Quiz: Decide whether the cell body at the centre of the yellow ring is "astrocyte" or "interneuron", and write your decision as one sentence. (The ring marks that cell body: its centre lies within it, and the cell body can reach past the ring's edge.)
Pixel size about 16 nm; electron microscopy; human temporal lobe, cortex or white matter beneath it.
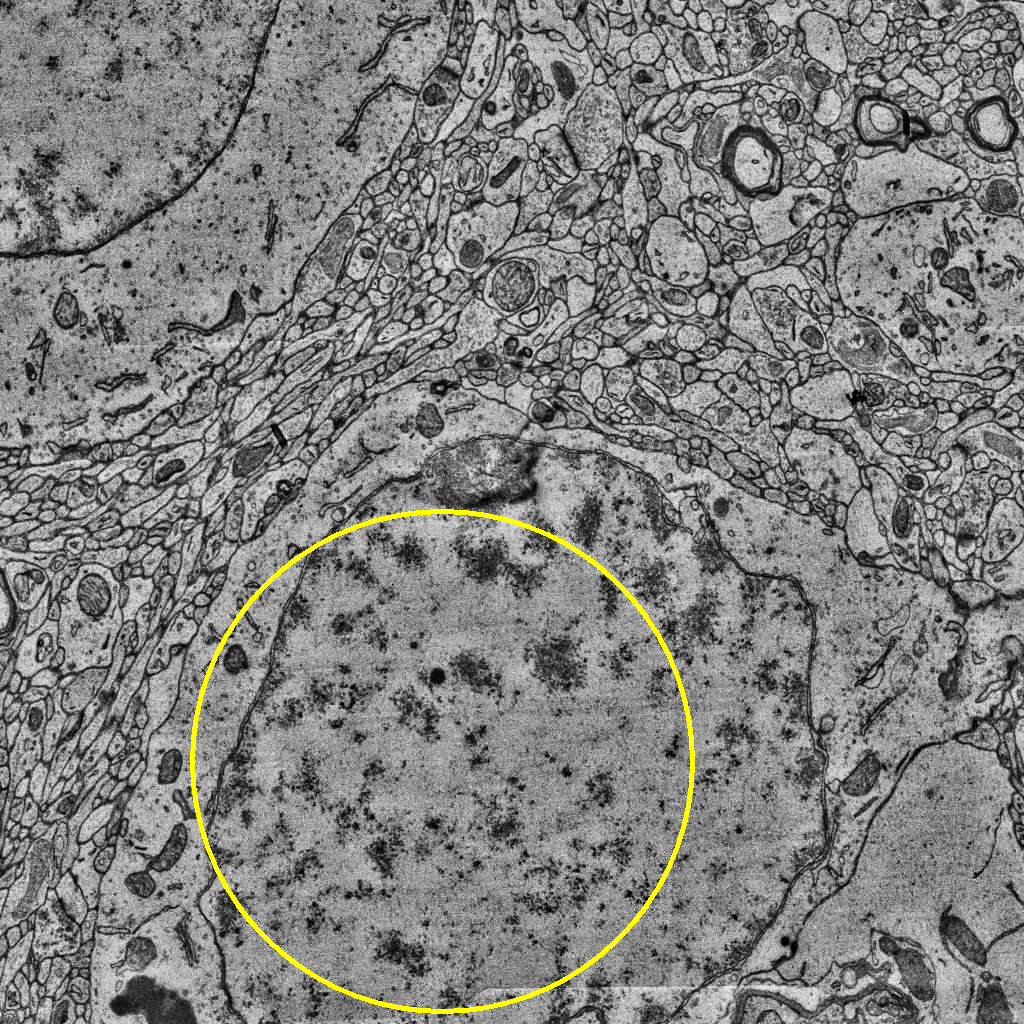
The cell holding the ring's centre is an interneuron.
